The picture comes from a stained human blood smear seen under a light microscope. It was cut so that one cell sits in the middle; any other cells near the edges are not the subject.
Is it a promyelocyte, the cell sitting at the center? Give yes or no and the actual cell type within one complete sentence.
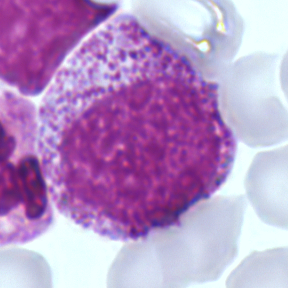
No, the central cell is a myelocyte; it should not be labelled a promyelocyte.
